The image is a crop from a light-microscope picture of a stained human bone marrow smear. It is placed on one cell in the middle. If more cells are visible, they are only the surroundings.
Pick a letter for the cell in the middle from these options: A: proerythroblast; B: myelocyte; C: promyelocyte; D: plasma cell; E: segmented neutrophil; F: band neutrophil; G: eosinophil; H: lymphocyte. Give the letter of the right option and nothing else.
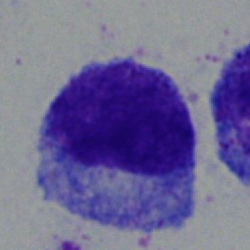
B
